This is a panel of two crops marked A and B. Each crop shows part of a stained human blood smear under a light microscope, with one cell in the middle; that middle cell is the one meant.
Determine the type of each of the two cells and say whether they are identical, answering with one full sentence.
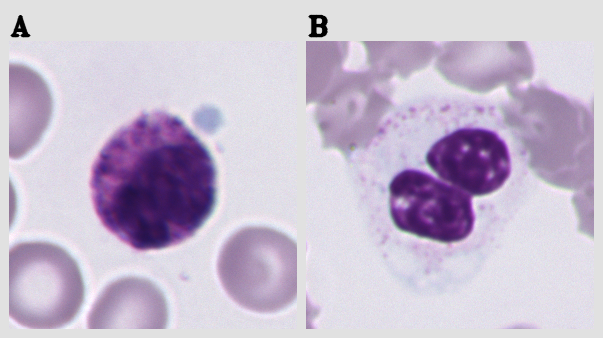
No, a basophil is shown in crop A and a segmented neutrophil in crop B.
